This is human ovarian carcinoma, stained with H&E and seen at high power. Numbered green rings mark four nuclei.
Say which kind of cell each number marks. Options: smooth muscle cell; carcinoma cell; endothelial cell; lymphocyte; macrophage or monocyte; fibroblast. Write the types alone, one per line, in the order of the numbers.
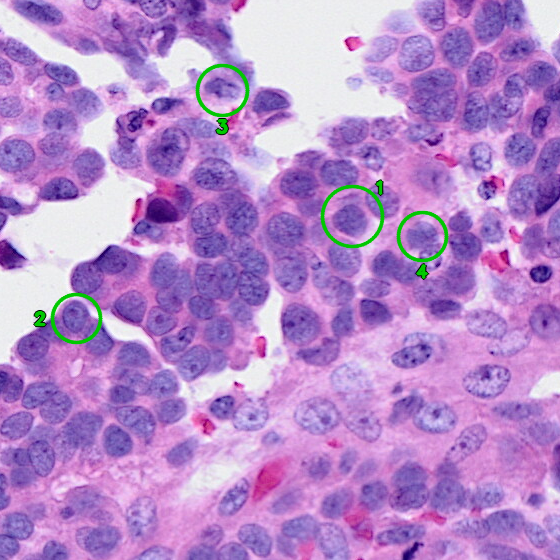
carcinoma cell
carcinoma cell
macrophage or monocyte
carcinoma cell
